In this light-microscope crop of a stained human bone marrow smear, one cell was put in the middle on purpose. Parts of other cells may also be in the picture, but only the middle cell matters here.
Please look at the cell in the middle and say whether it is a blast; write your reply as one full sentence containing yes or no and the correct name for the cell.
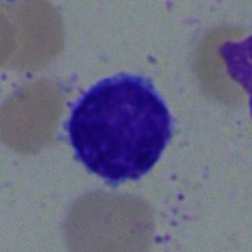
No, that guess of a blast misses; the central cell is a lymphocyte.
